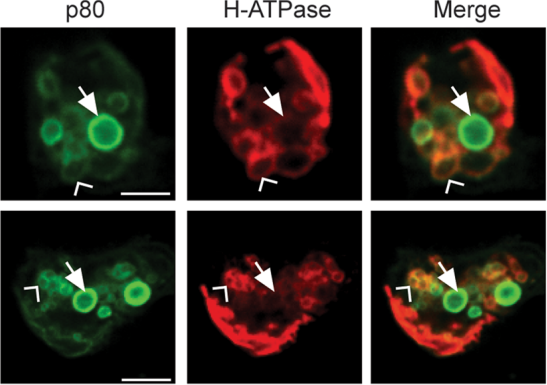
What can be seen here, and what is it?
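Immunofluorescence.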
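Two amoeboid cells are shown, each containing many round membrane-bounded compartments outlined in green. A strong red crescent-shaped network also runs along one side of each cell.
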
